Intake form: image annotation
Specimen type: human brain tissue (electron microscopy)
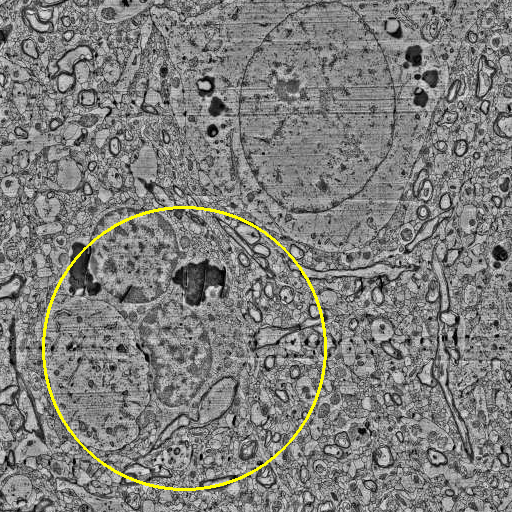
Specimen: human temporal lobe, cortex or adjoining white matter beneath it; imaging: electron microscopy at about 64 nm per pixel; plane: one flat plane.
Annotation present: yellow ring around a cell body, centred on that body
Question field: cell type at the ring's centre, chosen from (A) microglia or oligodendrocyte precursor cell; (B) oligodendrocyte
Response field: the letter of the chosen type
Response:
B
